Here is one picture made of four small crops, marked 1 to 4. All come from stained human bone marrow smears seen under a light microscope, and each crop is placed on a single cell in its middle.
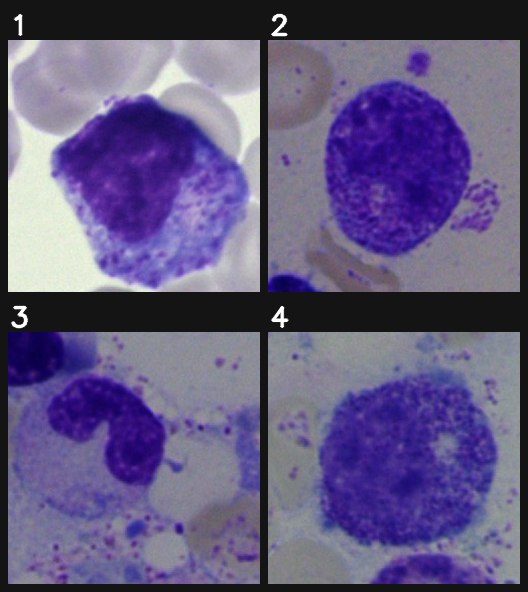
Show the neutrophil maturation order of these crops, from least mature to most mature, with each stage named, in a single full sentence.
The progression from least to most mature runs crop 1 (a promyelocyte), crop 4 (a myelocyte), crop 2 (a metamyelocyte) and crop 3 (a segmented neutrophil).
